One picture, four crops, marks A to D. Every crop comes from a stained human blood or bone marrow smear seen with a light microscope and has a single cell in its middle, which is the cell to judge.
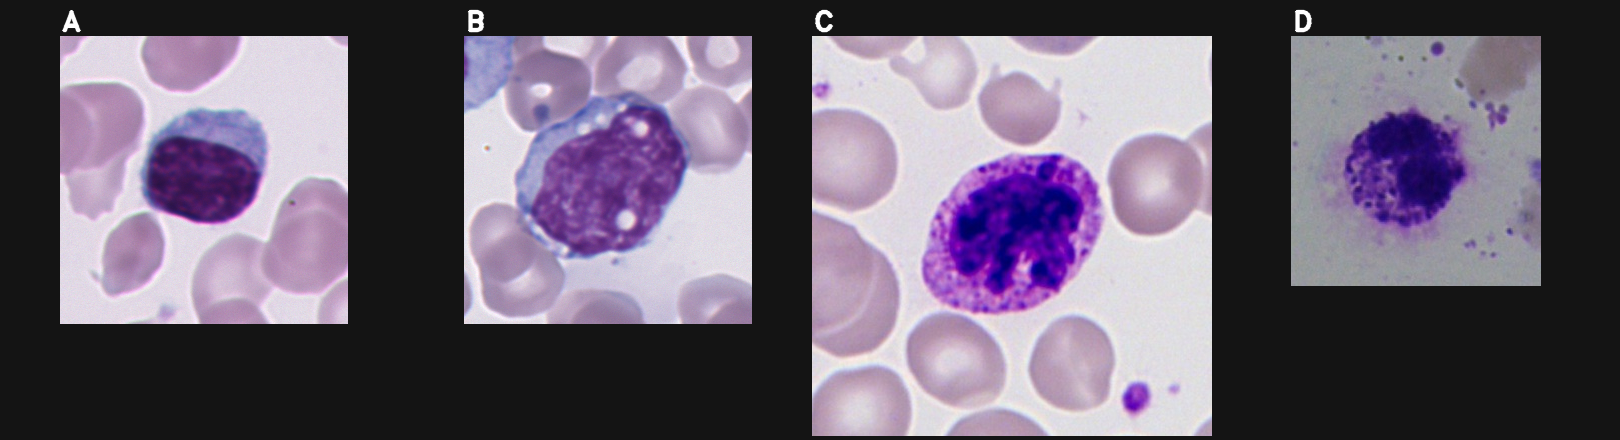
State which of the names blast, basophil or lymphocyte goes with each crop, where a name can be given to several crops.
A: lymphocyte
B: blast
C: basophil
D: basophil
